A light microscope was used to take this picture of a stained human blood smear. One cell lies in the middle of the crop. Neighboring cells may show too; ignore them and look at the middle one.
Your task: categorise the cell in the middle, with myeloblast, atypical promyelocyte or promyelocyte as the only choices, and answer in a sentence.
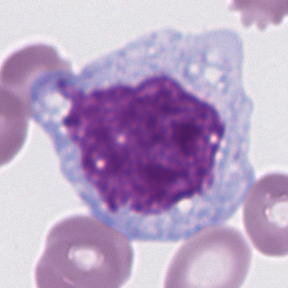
Whatever else lies nearby, the middle cell is a myeloblast.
